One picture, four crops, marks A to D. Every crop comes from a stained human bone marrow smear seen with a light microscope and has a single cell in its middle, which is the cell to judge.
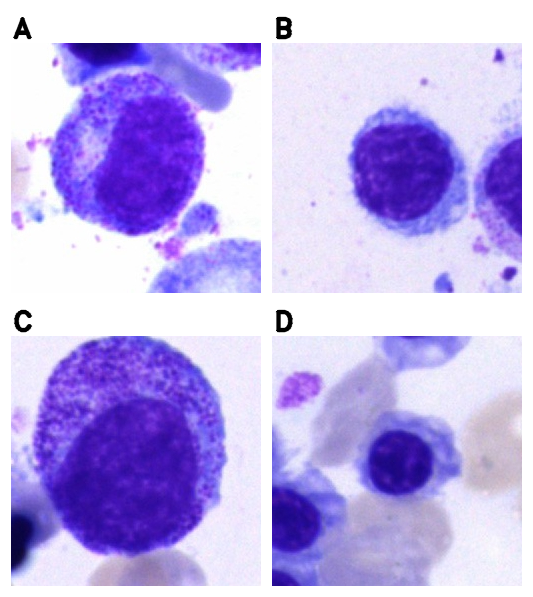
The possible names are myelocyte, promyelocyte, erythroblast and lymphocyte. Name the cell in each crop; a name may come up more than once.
A: myelocyte
B: lymphocyte
C: promyelocyte
D: erythroblast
